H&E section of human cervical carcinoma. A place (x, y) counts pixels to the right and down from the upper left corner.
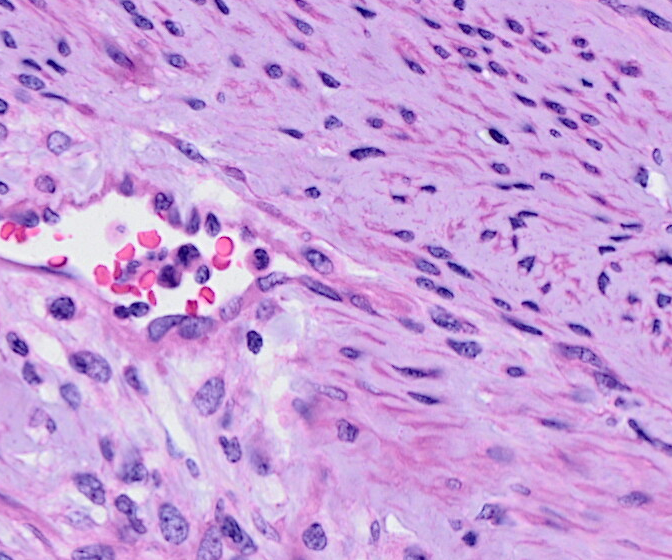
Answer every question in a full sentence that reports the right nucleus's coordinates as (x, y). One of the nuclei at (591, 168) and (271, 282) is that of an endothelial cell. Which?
The nucleus that sits at (271, 282) is the nucleus of an endothelial cell.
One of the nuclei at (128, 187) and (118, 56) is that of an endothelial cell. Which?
Here the nucleus at (128, 187) is the one that belongs to an endothelial cell.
